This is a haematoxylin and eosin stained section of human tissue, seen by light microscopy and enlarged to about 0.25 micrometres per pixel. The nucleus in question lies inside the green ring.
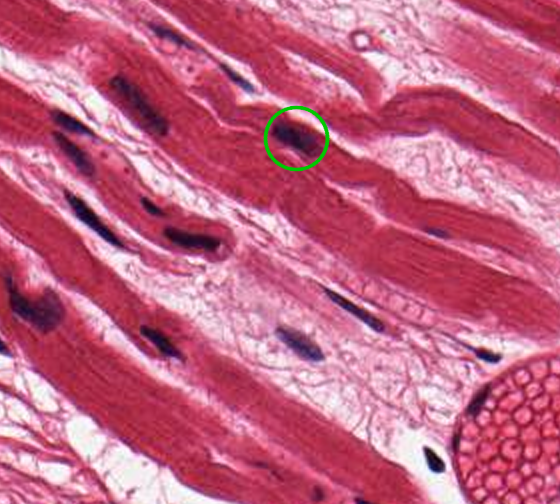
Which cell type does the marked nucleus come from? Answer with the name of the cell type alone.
cardiomyocyte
